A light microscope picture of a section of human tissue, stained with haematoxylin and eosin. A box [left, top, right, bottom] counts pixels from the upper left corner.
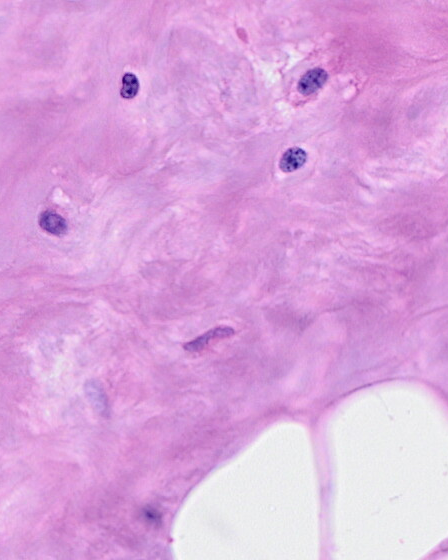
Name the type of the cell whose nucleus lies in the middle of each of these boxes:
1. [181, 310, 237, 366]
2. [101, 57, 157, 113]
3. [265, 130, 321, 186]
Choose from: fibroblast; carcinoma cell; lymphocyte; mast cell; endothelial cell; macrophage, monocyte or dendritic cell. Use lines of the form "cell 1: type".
cell 1: fibroblast
cell 2: lymphocyte
cell 3: mast cell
